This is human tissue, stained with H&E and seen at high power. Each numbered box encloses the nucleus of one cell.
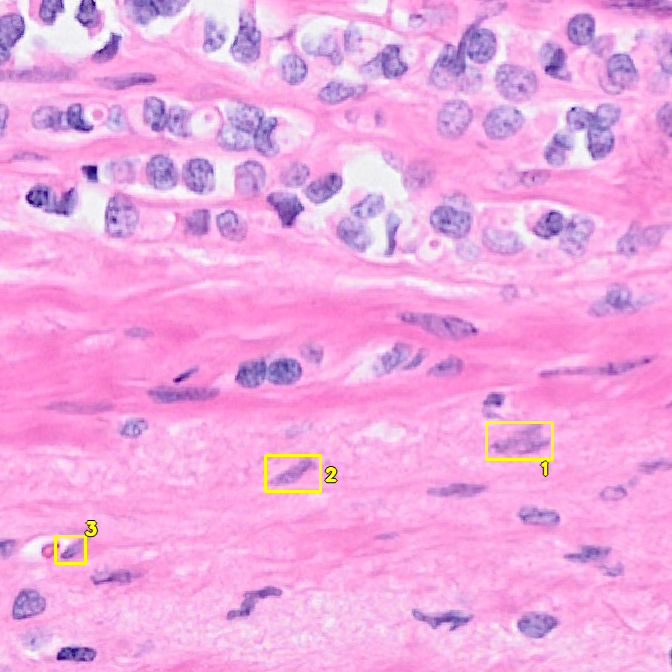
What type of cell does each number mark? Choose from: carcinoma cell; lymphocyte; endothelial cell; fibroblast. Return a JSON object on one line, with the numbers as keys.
{"1": "fibroblast", "2": "fibroblast", "3": "endothelial cell"}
